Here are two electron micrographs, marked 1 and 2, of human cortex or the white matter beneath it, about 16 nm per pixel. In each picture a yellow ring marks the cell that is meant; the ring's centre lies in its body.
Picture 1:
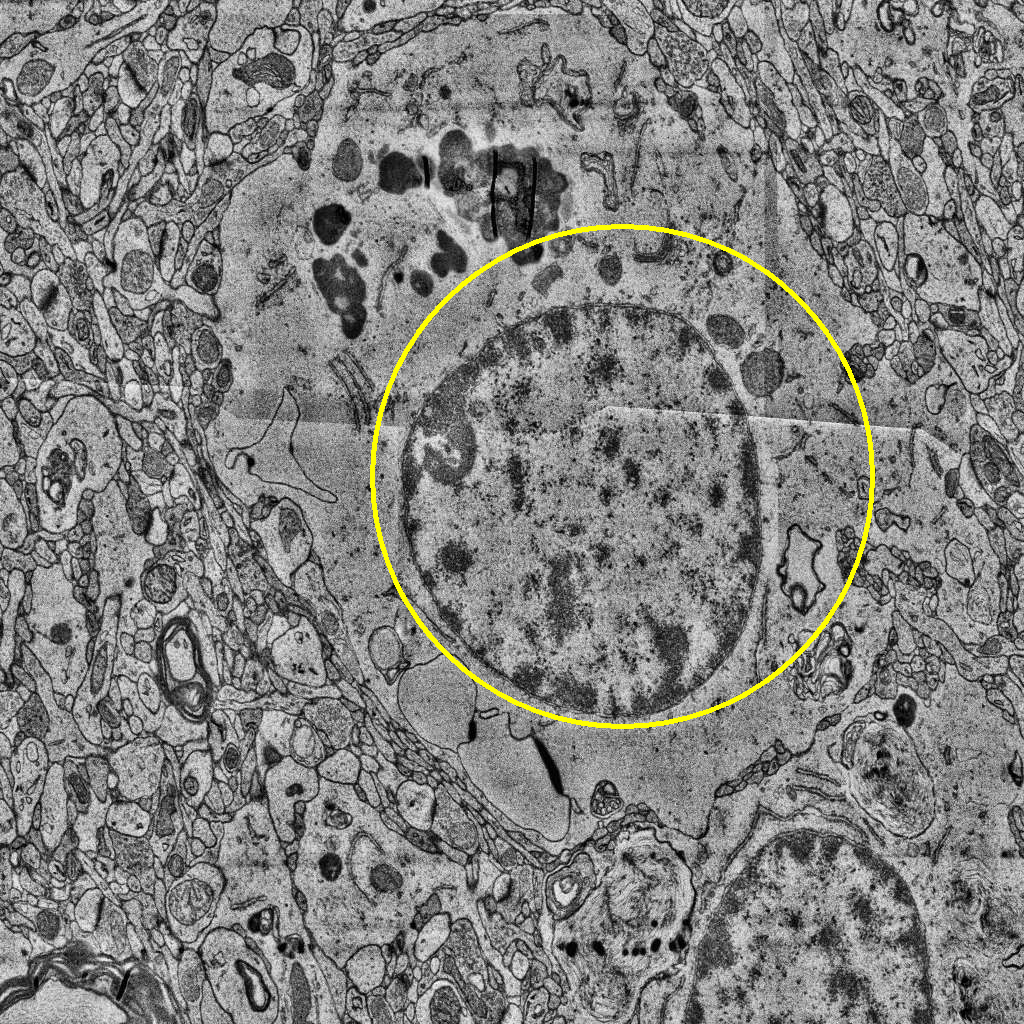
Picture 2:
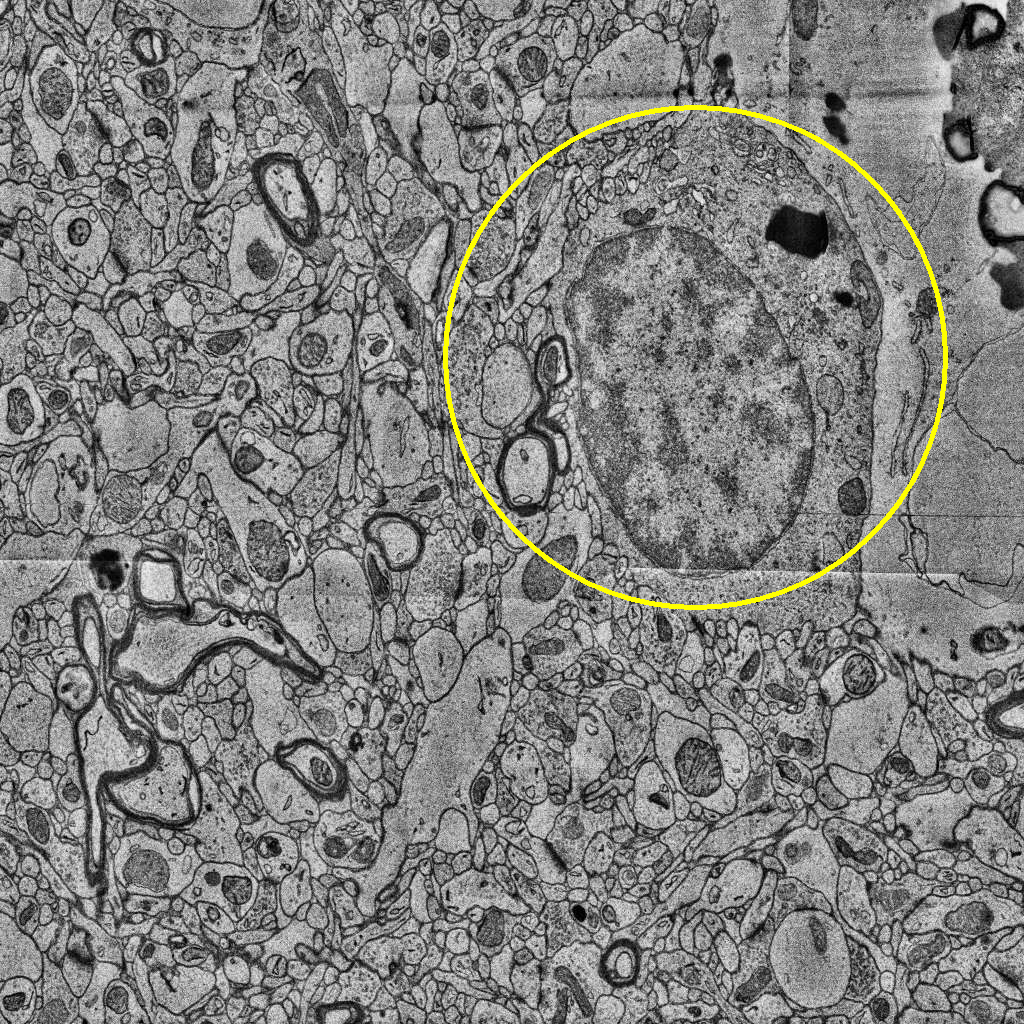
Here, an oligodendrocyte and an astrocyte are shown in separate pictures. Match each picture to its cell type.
In picture 1 the cell is an astrocyte; in picture 2, an oligodendrocyte.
